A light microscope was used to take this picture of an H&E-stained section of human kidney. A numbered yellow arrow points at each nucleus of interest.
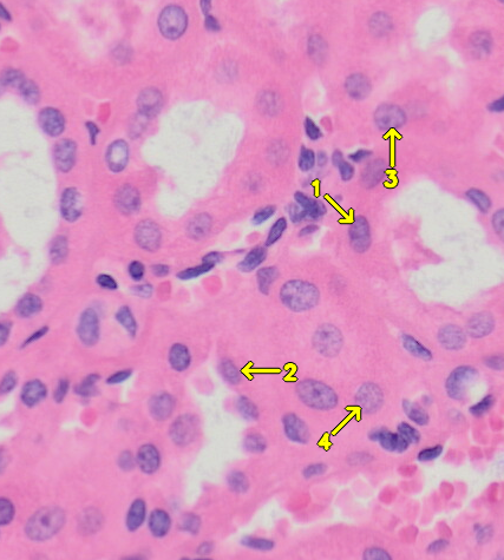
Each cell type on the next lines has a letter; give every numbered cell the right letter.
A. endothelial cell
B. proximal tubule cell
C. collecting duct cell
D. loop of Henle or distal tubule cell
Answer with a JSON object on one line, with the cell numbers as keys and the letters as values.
{"1": "B", "2": "D", "3": "B", "4": "B"}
